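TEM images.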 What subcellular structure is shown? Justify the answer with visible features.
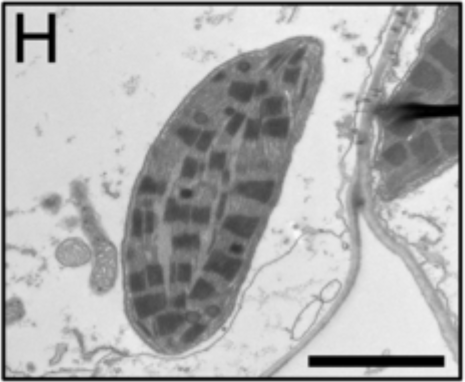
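Chloroplasts. An elongated organelle bounded by an envelope. Regular dark membrane stacks throughout its interior.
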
